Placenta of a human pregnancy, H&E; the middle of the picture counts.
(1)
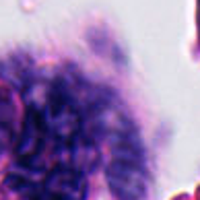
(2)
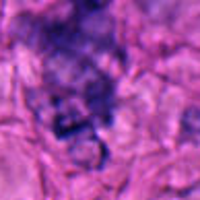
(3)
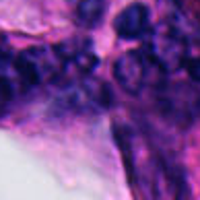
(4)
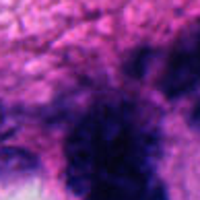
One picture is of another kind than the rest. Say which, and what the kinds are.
Picture 2 shows a vascular myocyte; the rest show syncytial knots.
